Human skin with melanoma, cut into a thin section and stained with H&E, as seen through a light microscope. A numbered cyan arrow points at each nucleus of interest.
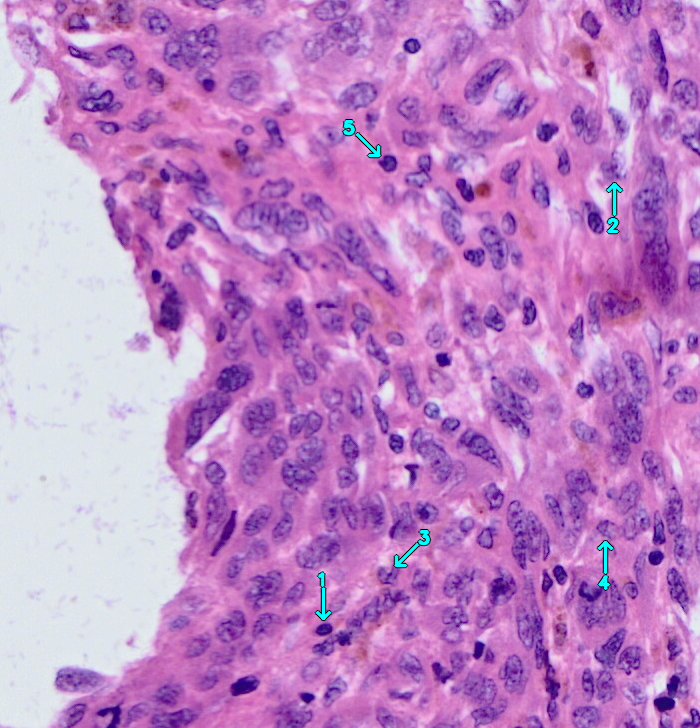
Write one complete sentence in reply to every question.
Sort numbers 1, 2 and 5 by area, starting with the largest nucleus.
Going from the biggest nucleus down to the smallest gives 2, 5, 1.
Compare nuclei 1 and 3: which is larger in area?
Nucleus 3 covers more area, about 1.5 times as much as nucleus 1.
